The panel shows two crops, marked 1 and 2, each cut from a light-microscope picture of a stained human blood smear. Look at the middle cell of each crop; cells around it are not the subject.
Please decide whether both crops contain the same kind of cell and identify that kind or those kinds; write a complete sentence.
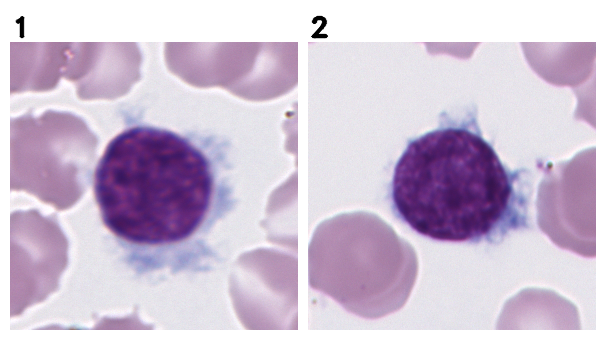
Yes, both crops show hairy cells as the central cells.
